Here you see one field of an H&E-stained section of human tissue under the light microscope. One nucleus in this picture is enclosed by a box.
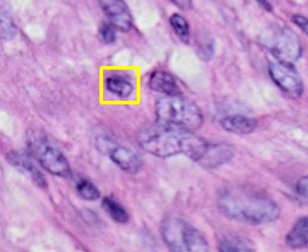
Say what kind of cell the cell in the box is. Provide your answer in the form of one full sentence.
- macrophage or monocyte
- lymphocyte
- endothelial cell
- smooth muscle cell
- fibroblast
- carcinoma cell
By its classification, the cell in the box is a macrophage or monocyte.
